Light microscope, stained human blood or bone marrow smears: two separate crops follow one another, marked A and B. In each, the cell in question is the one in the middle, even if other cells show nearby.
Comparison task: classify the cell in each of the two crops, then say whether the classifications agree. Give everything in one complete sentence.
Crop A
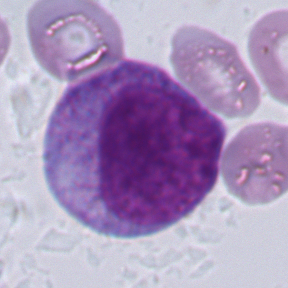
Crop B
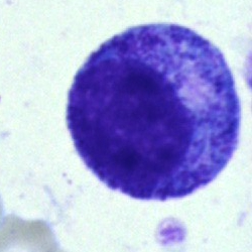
No: a promyelocyte sits in crop A, and a myelocyte sits in crop B.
